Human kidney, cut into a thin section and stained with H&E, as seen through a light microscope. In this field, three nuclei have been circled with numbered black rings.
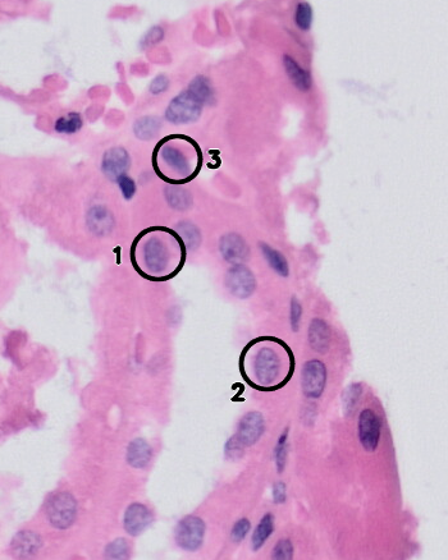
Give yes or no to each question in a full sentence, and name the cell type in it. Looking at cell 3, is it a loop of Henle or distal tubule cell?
No, the cell given number 3 is an endothelial cell, not a loop of Henle or distal tubule cell.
